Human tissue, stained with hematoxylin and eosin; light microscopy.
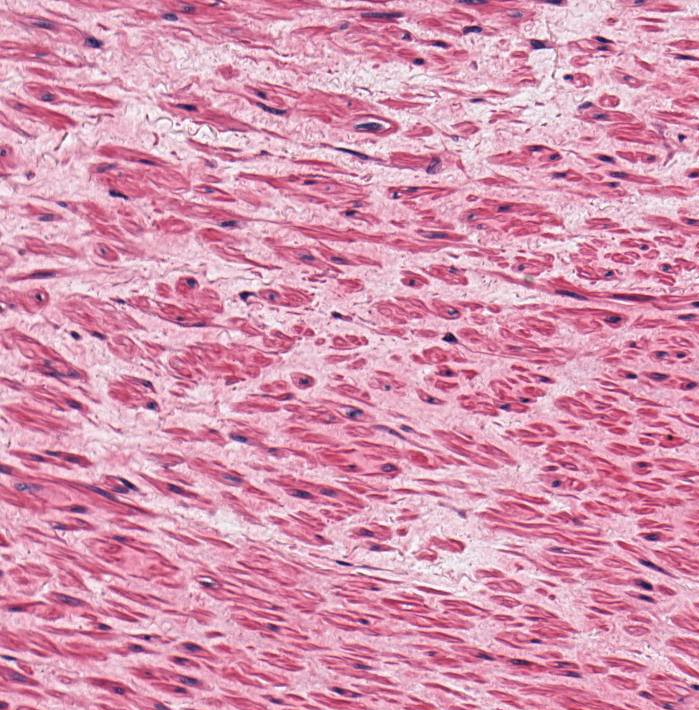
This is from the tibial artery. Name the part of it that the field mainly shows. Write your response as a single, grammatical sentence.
This section of human tissue is of the part termed tunica media.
